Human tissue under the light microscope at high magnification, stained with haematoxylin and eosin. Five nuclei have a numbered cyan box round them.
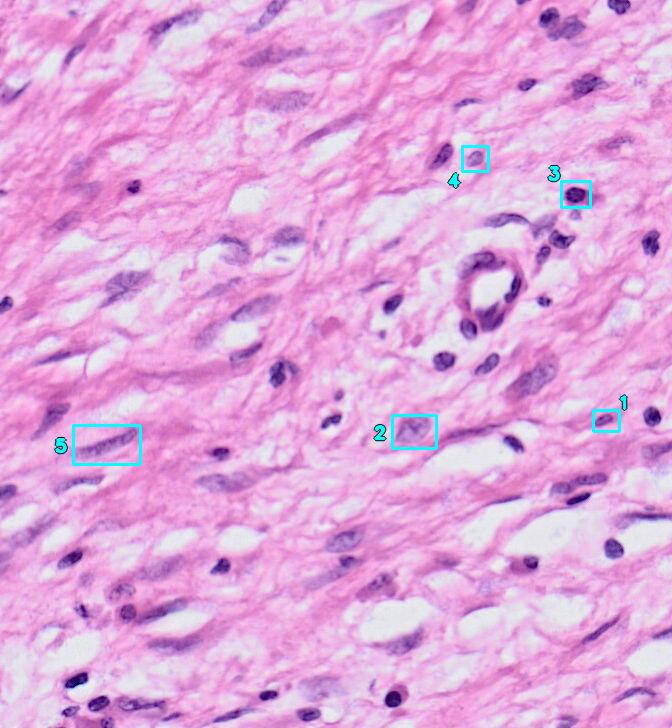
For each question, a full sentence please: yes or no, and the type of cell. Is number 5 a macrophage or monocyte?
No, the cell labelled 5 is a fibroblast or myofibroblast and not a macrophage or monocyte.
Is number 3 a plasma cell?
Yes, the cell indicated by number 3 is a plasma cell.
